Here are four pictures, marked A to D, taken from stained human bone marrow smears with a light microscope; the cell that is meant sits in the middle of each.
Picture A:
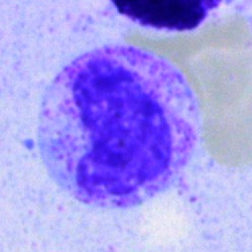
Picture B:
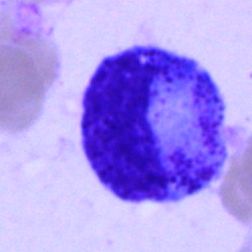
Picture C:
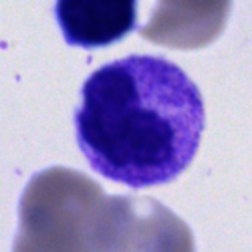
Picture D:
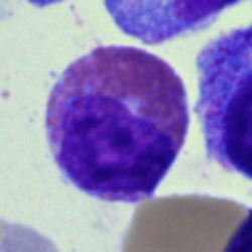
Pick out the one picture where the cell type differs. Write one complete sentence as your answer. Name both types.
The others show metamyelocytes, but picture D shows an eosinophil.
